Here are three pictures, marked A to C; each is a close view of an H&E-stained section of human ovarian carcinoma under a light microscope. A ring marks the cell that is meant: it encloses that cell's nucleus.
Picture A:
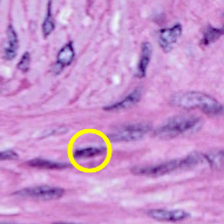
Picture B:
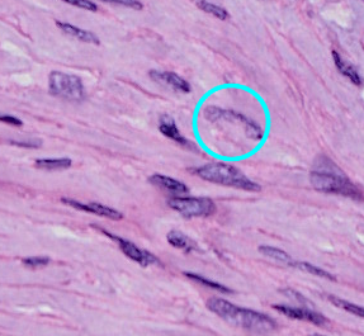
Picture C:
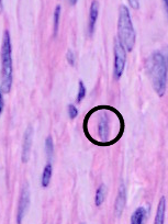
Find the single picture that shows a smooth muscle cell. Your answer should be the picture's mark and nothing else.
C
